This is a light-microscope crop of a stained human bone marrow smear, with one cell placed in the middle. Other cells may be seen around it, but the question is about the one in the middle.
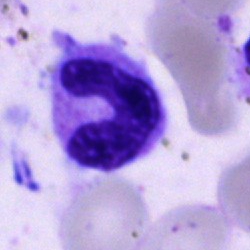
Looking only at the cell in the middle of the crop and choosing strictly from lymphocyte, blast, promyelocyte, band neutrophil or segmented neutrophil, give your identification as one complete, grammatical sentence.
The cell at the central position in this crop is a band neutrophil.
